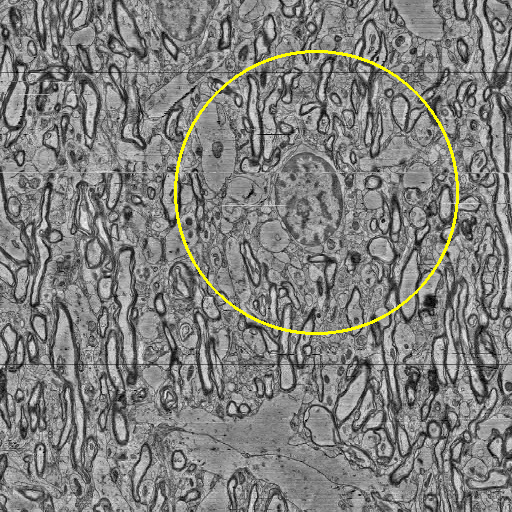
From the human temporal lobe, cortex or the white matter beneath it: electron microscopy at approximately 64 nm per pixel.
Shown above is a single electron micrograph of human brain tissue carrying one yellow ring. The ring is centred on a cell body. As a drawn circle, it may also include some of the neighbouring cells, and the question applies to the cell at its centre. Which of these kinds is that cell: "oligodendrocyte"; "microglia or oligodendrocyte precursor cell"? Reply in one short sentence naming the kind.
The cell marked by the ring is a microglial cell or oligodendrocyte precursor cell.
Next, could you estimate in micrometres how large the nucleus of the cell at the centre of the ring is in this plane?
The ringed cell's nucleus is about 6 micrometres long and 4 micrometres wide in this plane.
